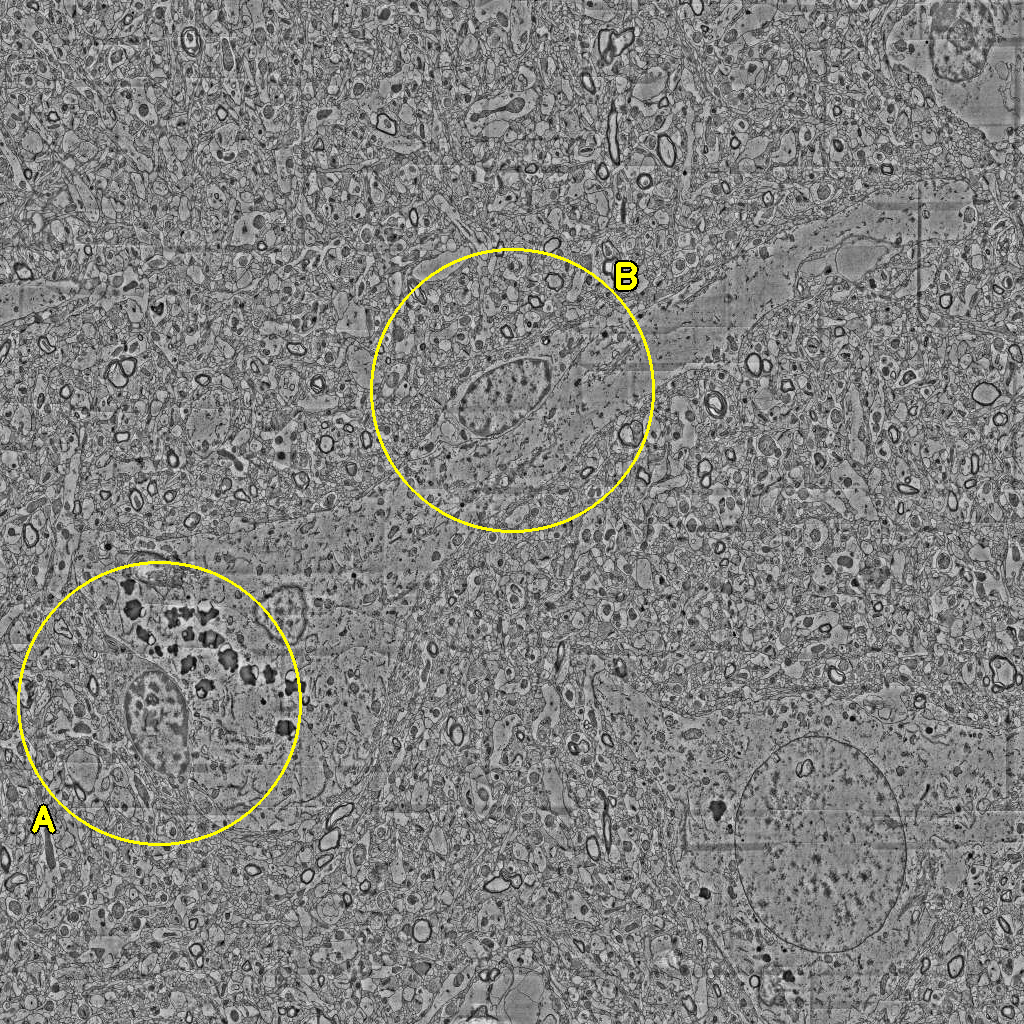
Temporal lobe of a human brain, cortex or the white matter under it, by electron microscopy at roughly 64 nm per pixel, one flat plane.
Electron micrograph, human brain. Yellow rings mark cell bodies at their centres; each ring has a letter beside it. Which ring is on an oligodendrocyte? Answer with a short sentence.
Ring A is centred on it.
